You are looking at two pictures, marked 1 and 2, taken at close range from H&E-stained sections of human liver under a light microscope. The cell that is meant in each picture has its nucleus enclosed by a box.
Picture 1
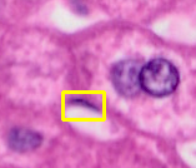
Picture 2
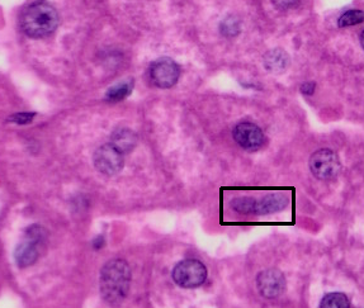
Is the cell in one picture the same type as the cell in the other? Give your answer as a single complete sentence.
No; the cell in picture 1 is an endothelial cell, while the one in picture 2 is a Kupffer cell.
